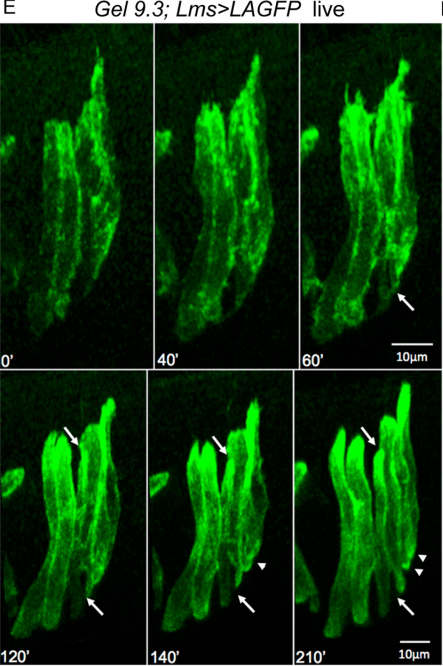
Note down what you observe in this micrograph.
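This is a time series of a small group of embryonic muscle fibres in a living embryo, with the fibre outlines and their internal filaments glowing green. At first the fibres form a compact bundle of long, parallel cells. In later frames a gap opens near the lower end of one fibre and then extends upward, so that a new, separate fibre comes to lie beside the old one. Toward the end, the lower tip of a neighbouring fibre also starts to divide into smaller separate ends.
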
